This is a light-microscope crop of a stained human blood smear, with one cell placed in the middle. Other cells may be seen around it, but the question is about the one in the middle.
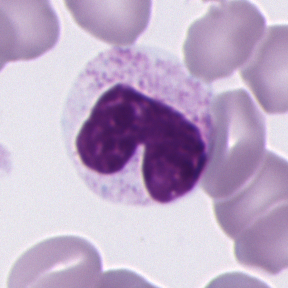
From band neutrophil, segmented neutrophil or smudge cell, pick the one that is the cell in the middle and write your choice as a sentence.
As for the central cell, it is a band neutrophil.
